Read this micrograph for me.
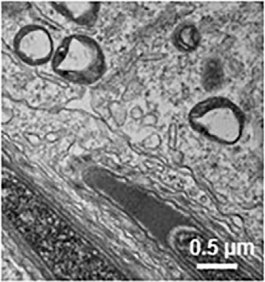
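This electron micrograph of testicular germ cell cytoplasm shows several rounded mitochondria near the top. Each has a dark, dense margin enclosing a largely pale, open interior, quite unlike the closely packed thin cristae of ordinary mitochondria. Small vesicles and membrane profiles fill the surrounding cytoplasm, and an elongated very dark structure runs diagonally across the lower part of the field.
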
